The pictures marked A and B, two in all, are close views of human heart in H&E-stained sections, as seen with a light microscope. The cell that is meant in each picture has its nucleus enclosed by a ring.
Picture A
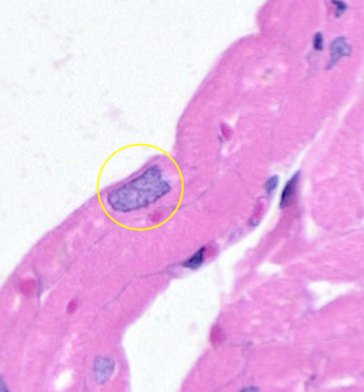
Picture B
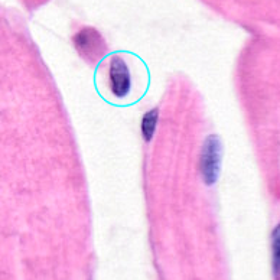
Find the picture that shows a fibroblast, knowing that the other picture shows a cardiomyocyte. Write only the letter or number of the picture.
B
